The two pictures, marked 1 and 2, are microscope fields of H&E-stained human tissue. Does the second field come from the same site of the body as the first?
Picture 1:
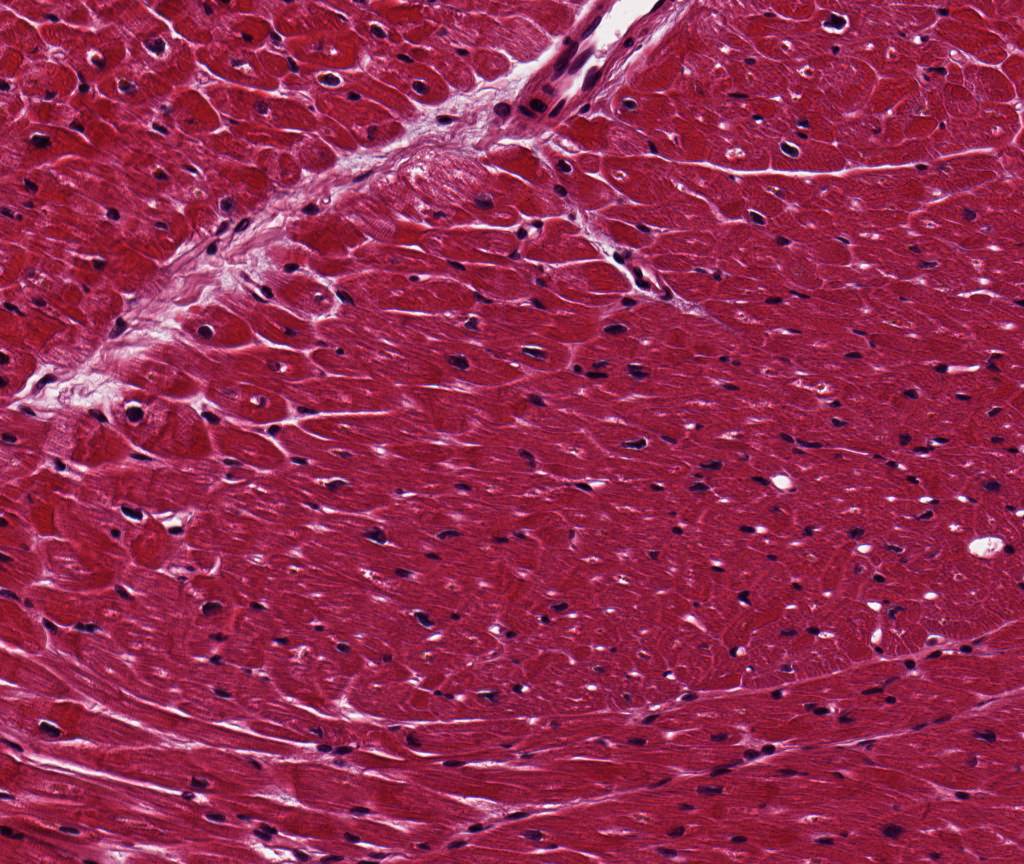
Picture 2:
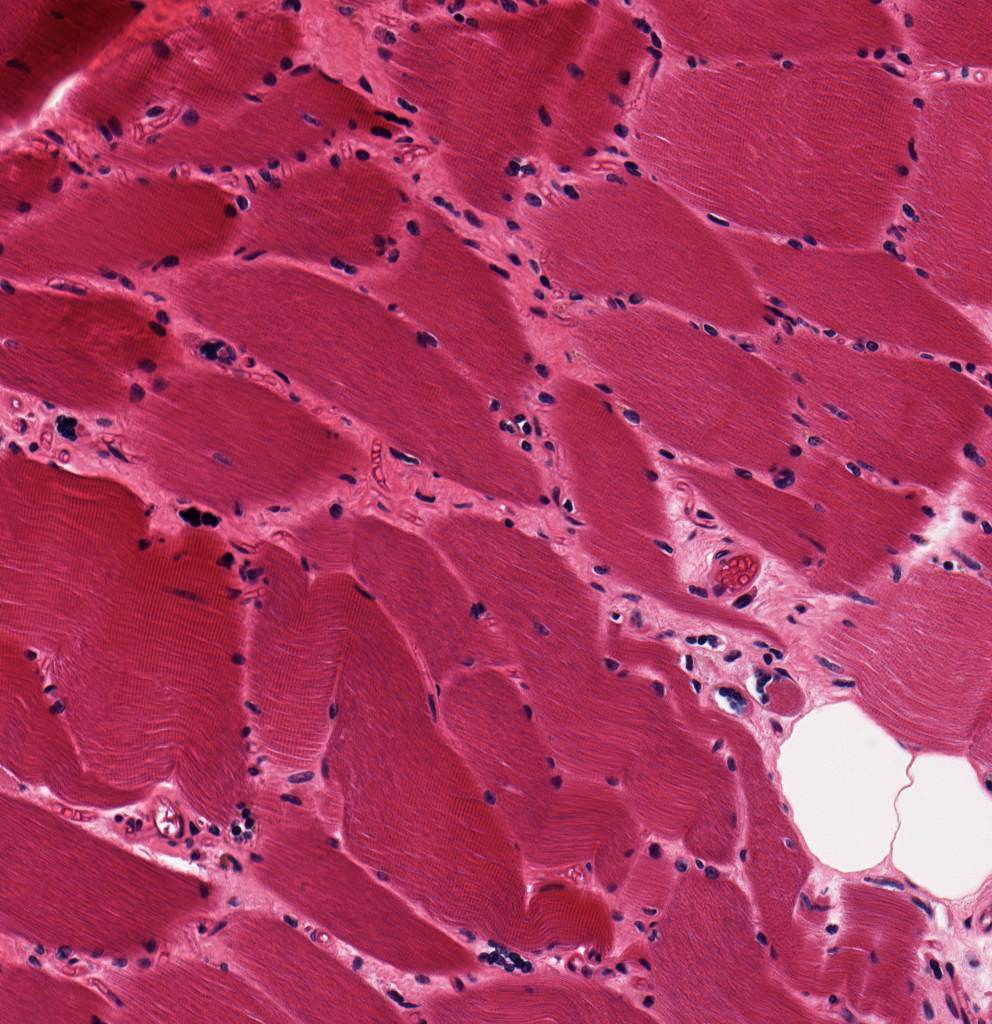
no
